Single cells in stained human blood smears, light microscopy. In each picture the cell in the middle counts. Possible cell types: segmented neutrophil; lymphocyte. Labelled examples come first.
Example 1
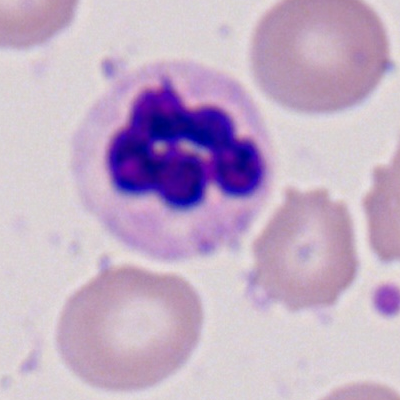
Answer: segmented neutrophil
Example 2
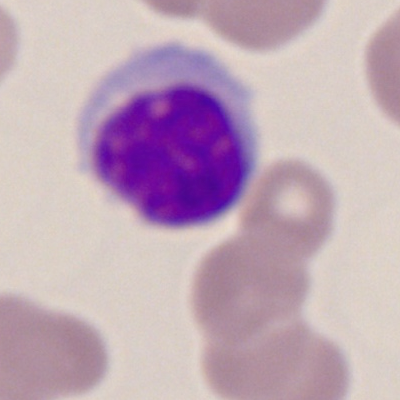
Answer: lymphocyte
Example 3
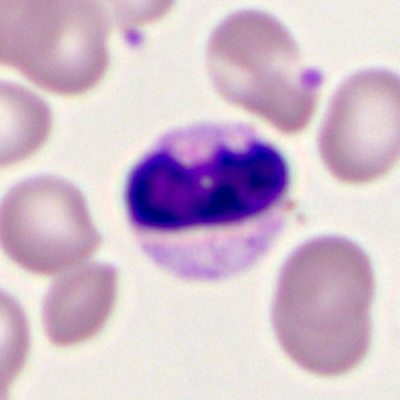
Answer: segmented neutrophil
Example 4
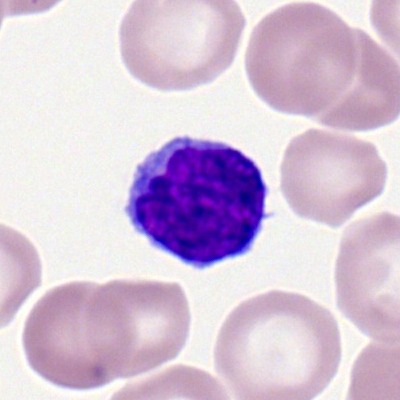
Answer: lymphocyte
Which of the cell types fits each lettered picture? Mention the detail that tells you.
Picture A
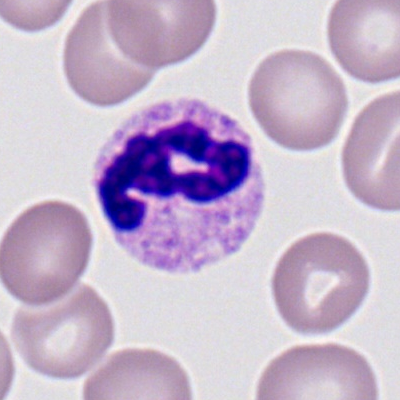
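segmented neutrophil: The nucleus is a single long strand curved into a hook shape.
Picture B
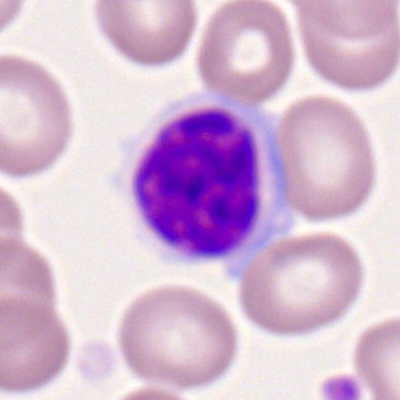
lymphocyte: The cytoplasm forms only a thin rim around the nucleus.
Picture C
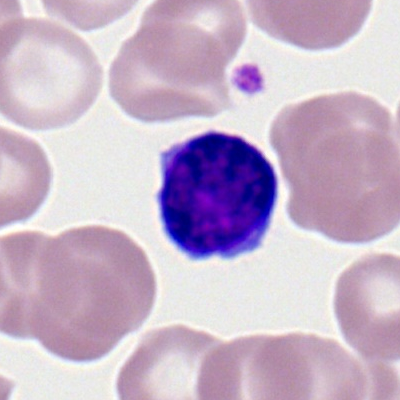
lymphocyte: The cytoplasm is only a very thin rim at the edge of the cell.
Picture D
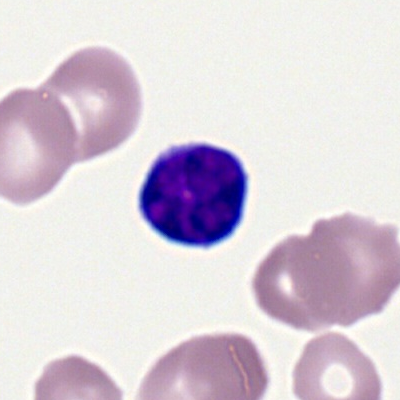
lymphocyte: The cytoplasm is scant, at most a very thin rim around the nucleus.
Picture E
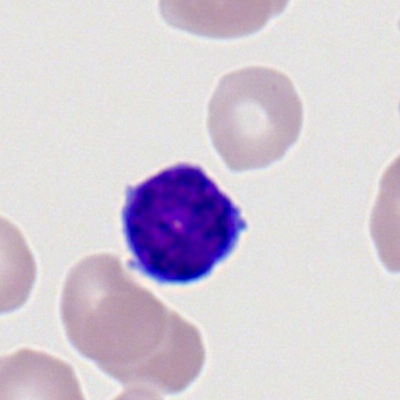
lymphocyte: The nucleus fills almost the whole cell.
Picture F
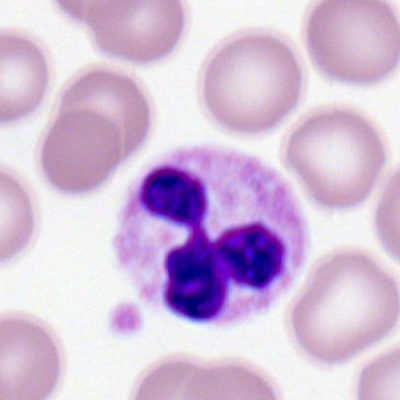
segmented neutrophil: The nucleus is divided into three lobes.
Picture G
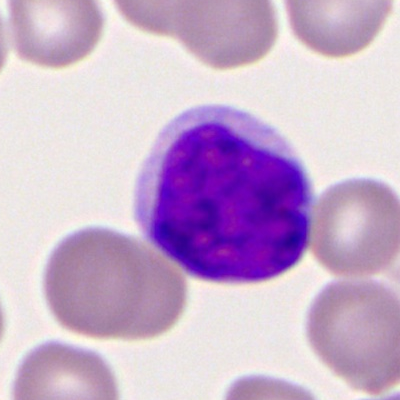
lymphocyte: The cytoplasm forms only a thin rim around the nucleus.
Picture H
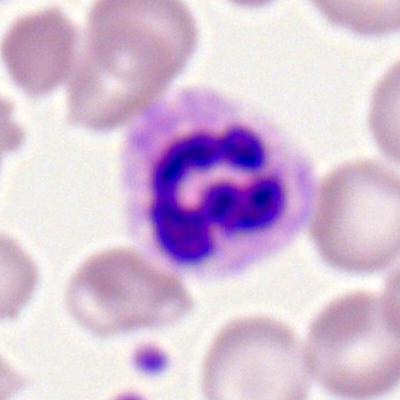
segmented neutrophil: The nucleus is divided into several lobes joined in a curved chain.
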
